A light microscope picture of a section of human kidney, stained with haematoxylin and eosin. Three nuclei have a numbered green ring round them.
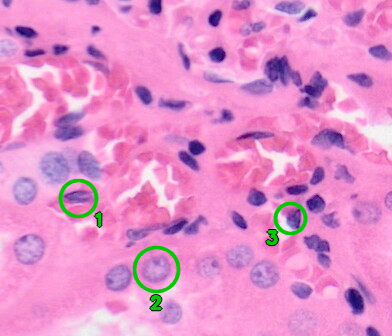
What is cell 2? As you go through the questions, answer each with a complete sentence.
Looking at the numbered marks, cell 2 is a proximal tubule cell.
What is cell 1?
The marked nucleus 1 is that of an endothelial cell.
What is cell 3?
Of the numbered cells, the one labelled 3 is an endothelial cell.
